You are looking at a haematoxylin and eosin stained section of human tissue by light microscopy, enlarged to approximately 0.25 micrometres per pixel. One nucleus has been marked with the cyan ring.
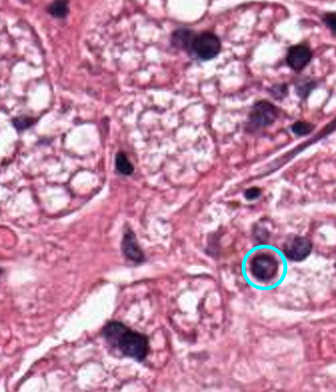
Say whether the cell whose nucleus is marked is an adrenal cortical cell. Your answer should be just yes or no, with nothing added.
yes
